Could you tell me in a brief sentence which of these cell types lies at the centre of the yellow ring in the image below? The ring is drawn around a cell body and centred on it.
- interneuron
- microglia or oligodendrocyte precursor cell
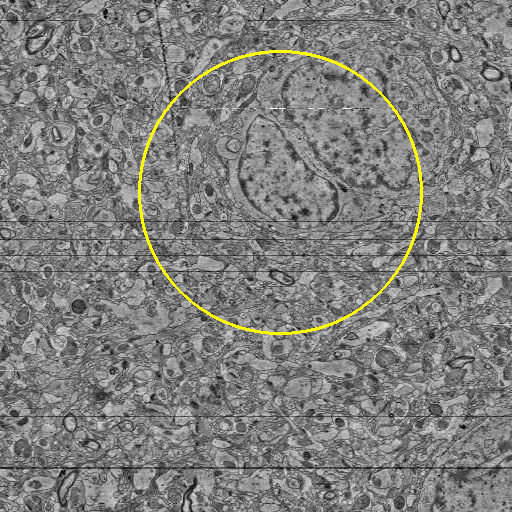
The cell centred in the ring is a microglial cell or oligodendrocyte precursor cell.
